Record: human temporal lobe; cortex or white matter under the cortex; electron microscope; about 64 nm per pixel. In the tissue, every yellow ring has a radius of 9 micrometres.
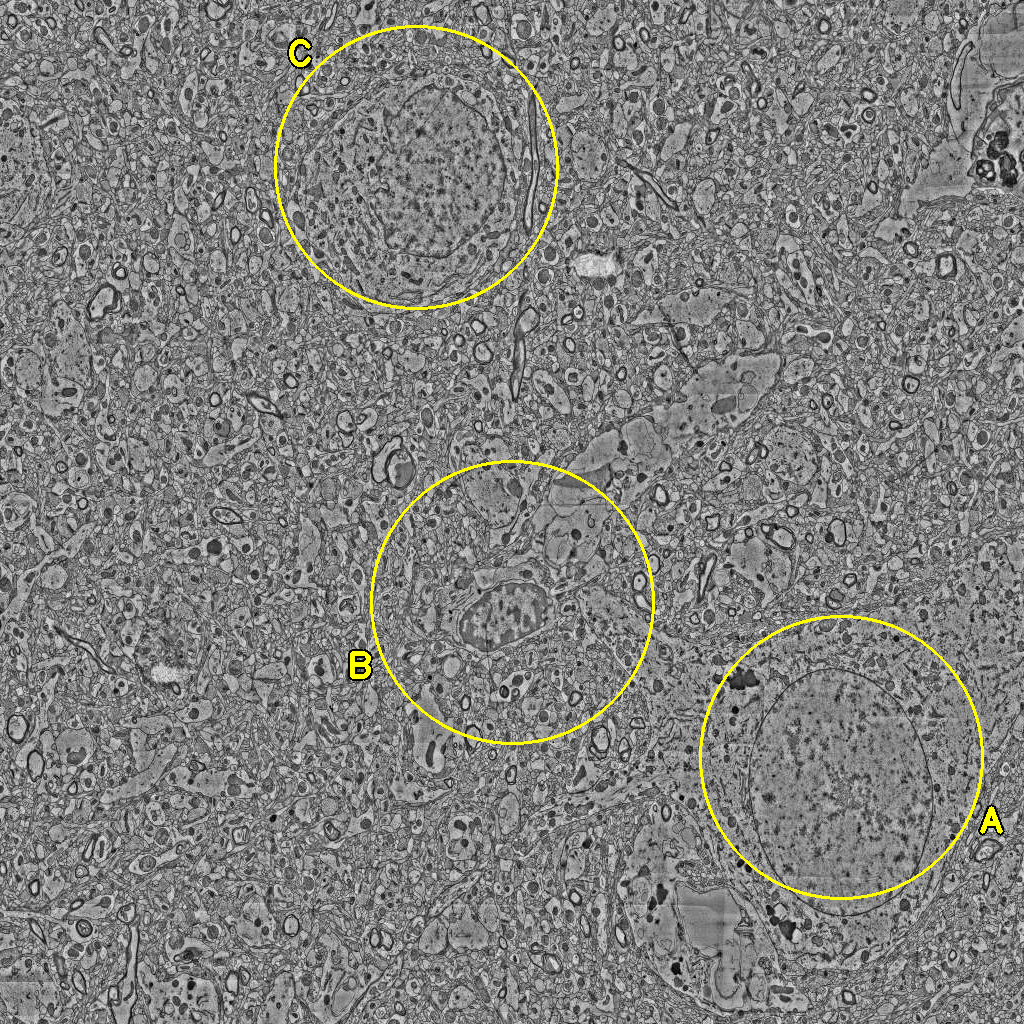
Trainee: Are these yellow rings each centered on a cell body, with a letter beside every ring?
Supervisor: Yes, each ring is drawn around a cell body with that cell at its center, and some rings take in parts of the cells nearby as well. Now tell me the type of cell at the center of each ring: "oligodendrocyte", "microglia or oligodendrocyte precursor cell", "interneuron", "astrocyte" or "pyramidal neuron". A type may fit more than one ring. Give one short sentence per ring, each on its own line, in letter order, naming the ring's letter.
Ring A has a pyramidal neuron at its center.
Ring B has a microglial cell or oligodendrocyte precursor cell at its center.
Ring C has an interneuron at its center.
